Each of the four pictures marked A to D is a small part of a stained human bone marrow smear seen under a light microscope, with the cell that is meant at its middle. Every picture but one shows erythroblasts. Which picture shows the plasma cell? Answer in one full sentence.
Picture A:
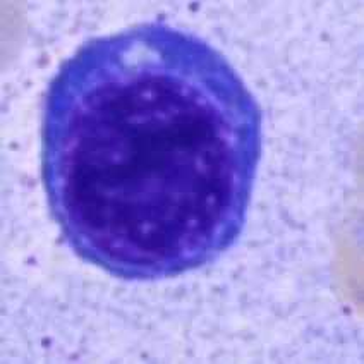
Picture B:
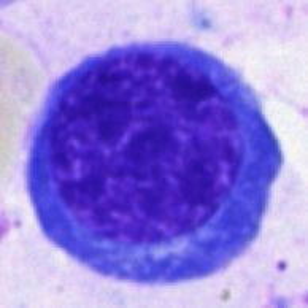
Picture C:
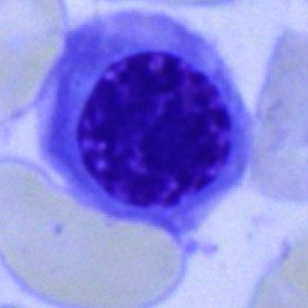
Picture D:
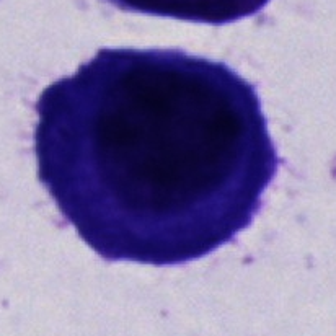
Picture D is the one that shows the plasma cell.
